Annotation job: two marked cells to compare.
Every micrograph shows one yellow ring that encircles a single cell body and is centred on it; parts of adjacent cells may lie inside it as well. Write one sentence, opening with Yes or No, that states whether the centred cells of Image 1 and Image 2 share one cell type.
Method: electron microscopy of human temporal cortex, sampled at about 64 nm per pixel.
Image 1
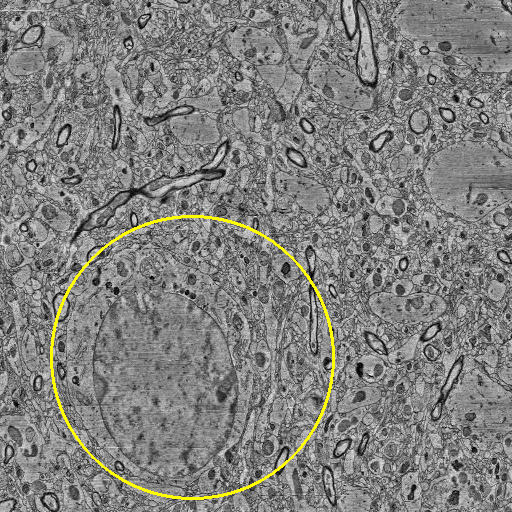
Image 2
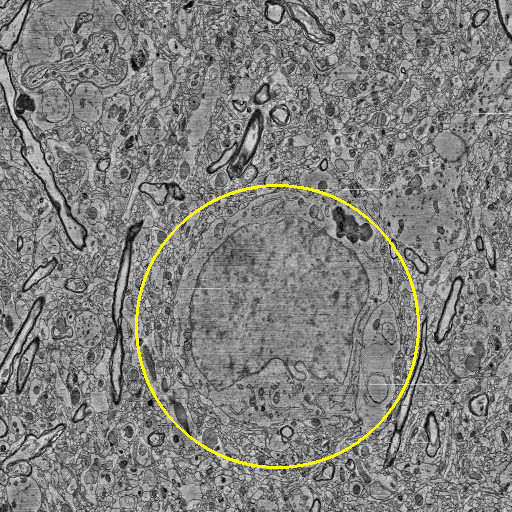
Yes, the cell centred in Image 1 shares its type with the cell centred in Image 2.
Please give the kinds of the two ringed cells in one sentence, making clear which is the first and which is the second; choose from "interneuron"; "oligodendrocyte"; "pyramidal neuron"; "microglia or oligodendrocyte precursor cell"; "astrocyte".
Both pictures show an interneuron at the centre of the ring.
